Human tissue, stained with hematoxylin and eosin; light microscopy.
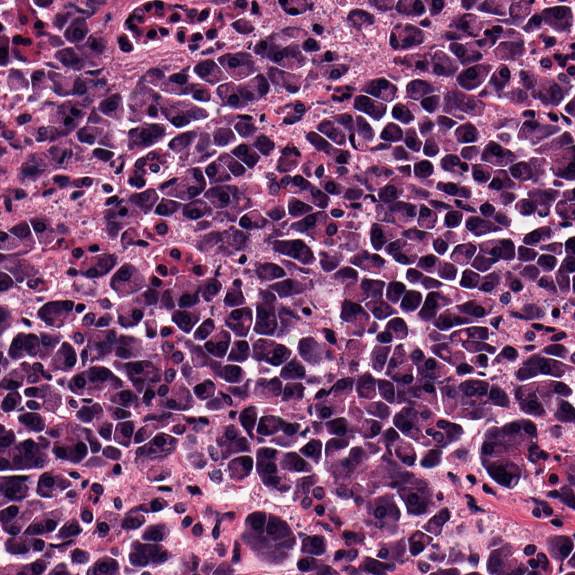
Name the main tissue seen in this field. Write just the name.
exocrine pancreas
